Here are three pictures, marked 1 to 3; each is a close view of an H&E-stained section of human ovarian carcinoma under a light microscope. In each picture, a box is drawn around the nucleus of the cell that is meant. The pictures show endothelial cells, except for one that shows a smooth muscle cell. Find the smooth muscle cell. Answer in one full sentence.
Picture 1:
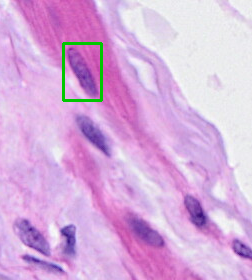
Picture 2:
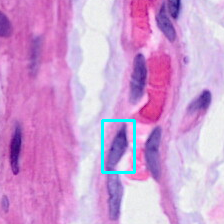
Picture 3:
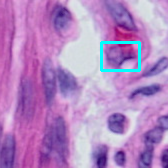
The picture with the smooth muscle cell is 1.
